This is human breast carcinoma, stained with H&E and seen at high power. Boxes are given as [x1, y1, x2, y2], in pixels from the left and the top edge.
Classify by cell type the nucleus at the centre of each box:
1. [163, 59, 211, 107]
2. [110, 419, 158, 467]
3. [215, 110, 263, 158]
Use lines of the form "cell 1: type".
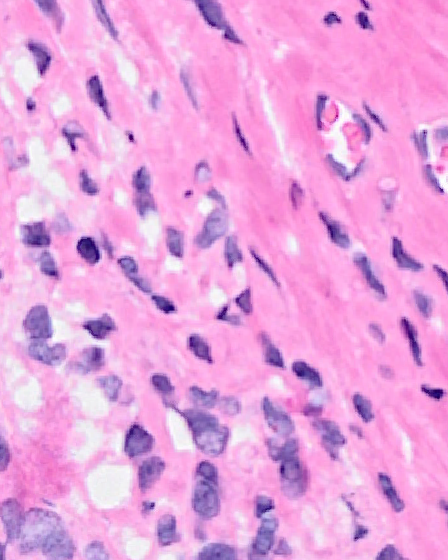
cell 1: fibroblast
cell 2: carcinoma cell
cell 3: fibroblast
